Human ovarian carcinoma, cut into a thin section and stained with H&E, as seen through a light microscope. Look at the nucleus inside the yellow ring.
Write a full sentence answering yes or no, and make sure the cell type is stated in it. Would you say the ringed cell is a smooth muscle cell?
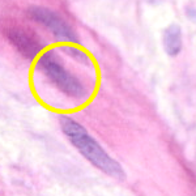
Yes, the cell type of the ringed cell is that of a smooth muscle cell.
